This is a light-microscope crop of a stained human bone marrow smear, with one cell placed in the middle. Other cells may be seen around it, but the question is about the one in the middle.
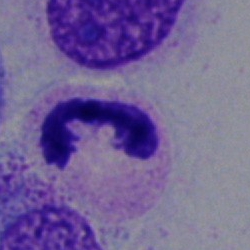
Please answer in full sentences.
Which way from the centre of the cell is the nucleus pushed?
Seen from the middle of the cell, the nucleus lies toward the top.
